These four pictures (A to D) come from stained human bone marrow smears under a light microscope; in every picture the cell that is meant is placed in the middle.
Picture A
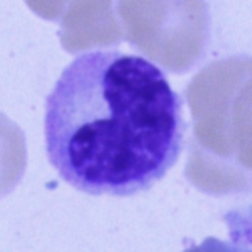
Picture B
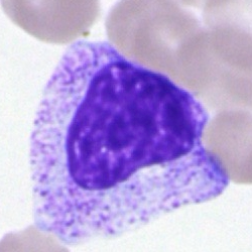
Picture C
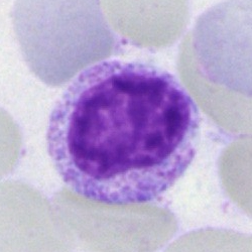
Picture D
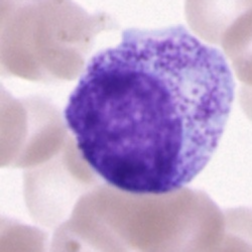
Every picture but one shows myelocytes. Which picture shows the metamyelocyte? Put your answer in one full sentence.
The cell in picture A is the metamyelocyte.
